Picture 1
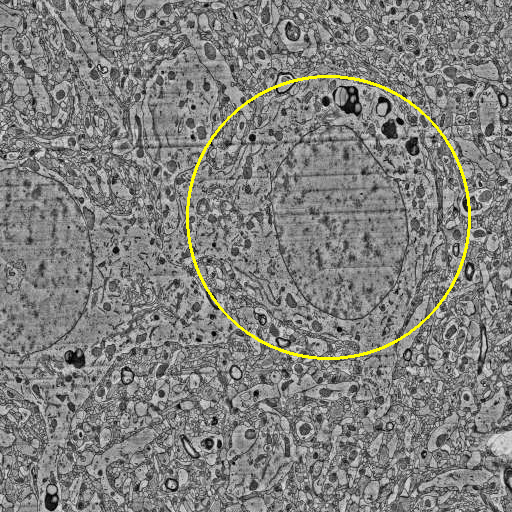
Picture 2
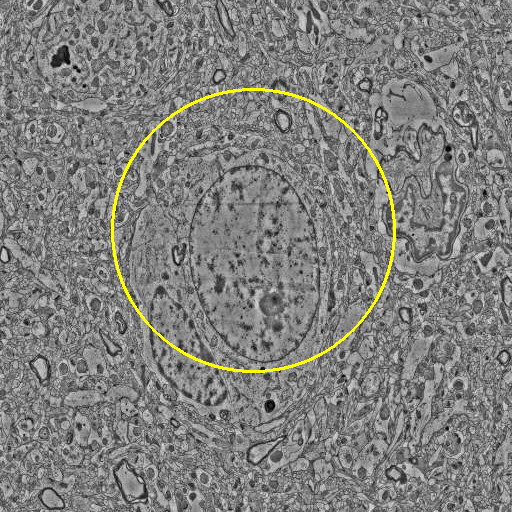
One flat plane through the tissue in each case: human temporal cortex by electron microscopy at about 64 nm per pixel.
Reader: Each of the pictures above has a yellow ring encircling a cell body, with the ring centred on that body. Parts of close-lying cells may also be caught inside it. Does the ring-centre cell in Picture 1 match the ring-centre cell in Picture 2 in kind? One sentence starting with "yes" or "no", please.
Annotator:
Yes, Picture 1 and Picture 2 show ring-centre cells of a single kind.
